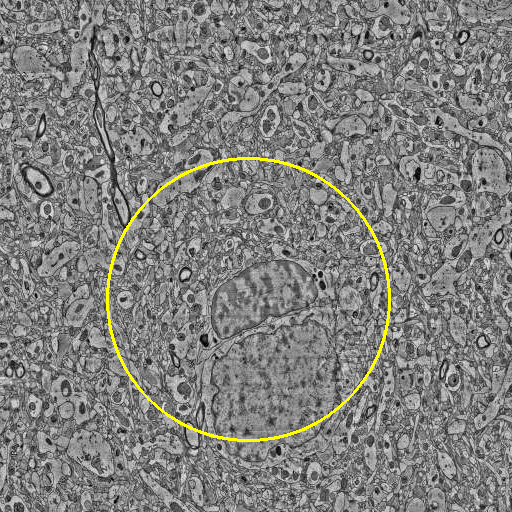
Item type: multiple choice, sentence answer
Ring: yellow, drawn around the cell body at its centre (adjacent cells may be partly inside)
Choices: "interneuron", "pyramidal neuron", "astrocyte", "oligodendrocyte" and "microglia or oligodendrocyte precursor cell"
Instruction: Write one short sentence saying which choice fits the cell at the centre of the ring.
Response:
This ring is drawn around a microglial cell or oligodendrocyte precursor cell.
